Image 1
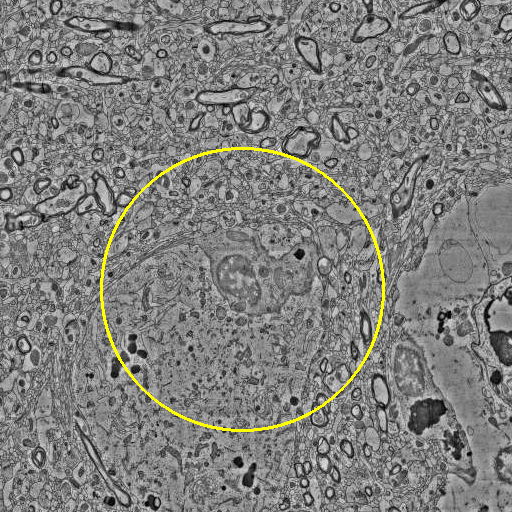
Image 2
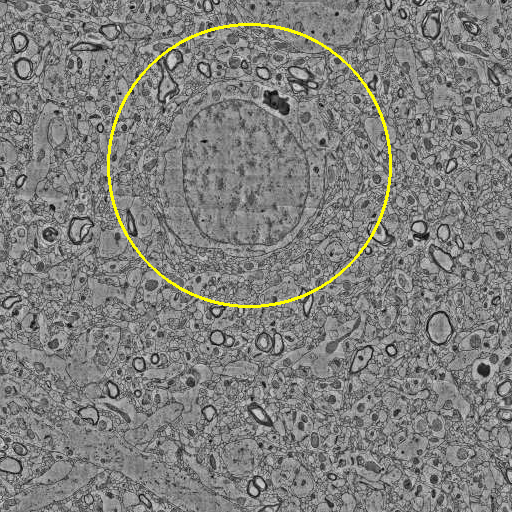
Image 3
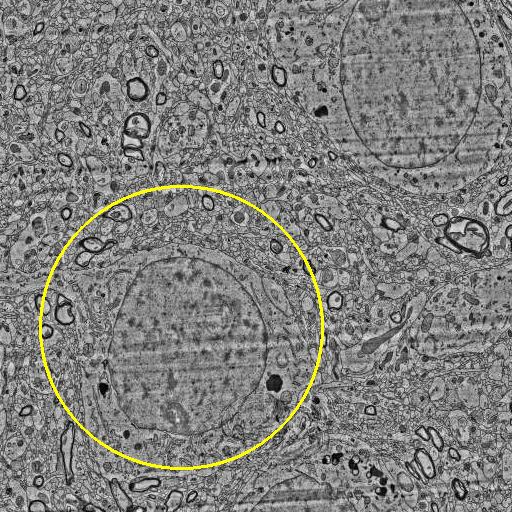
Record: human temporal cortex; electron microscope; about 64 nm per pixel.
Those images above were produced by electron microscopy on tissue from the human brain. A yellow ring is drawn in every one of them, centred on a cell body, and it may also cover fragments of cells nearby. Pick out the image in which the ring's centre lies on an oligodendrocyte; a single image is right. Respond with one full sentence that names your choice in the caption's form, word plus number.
Image 1 is my choice: its ring is centred on the requested cell.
